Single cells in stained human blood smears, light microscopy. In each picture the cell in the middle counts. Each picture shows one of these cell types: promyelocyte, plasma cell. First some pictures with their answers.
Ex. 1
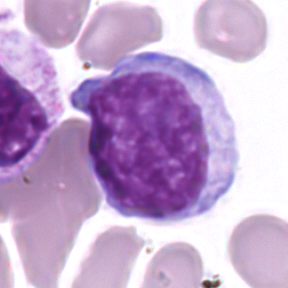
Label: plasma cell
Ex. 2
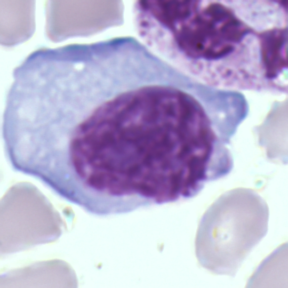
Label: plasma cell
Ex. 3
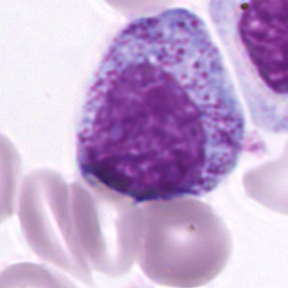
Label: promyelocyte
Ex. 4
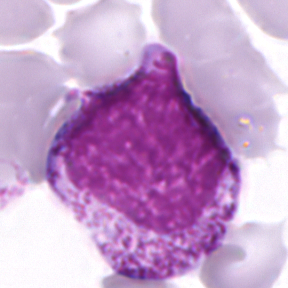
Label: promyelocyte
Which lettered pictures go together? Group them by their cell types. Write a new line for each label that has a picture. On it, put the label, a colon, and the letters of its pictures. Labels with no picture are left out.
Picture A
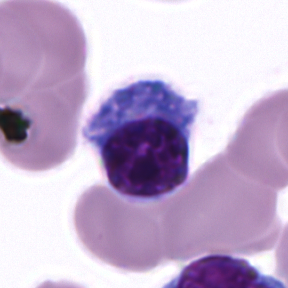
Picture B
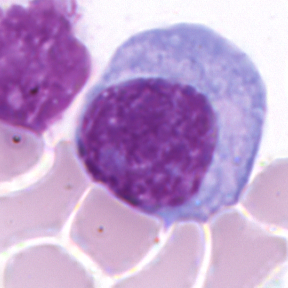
plasma cell: A, B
